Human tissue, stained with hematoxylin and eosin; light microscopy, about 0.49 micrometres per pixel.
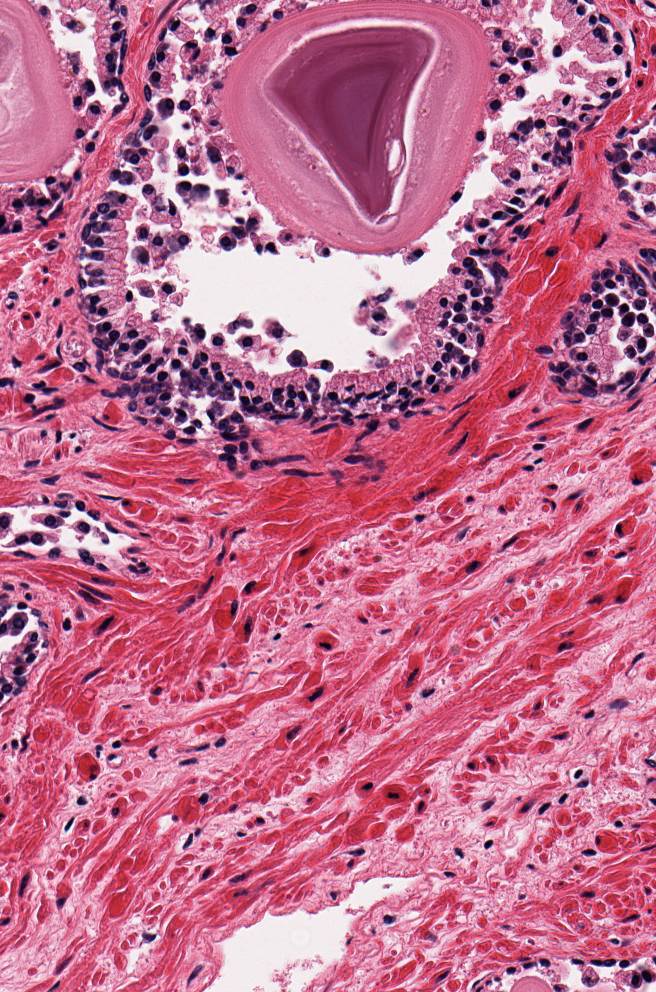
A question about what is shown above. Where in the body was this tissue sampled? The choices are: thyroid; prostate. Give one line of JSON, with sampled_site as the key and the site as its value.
{"sampled_site": "prostate"}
